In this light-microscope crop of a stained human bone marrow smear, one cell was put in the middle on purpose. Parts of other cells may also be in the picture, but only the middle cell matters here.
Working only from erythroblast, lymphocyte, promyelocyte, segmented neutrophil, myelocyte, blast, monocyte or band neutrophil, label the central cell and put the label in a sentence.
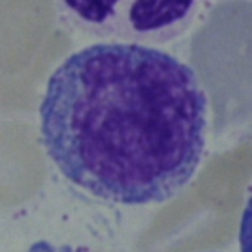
Whatever else lies nearby, the middle cell is a monocyte.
